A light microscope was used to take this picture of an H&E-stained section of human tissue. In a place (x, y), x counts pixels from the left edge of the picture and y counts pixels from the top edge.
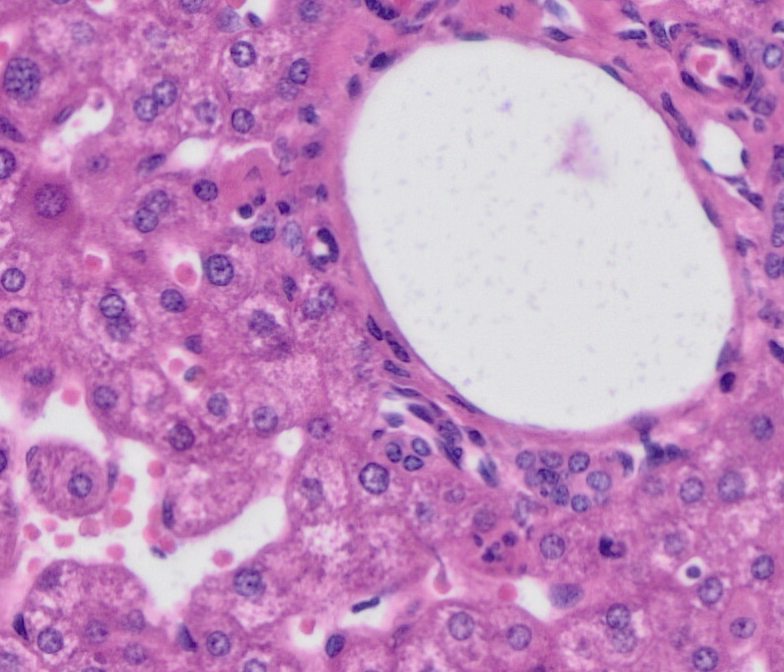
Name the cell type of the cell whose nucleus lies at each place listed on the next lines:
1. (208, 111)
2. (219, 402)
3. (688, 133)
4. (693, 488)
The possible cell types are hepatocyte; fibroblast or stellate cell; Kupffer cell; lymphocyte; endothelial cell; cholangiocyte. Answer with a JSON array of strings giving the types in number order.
["hepatocyte", "hepatocyte", "fibroblast or stellate cell", "hepatocyte"]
